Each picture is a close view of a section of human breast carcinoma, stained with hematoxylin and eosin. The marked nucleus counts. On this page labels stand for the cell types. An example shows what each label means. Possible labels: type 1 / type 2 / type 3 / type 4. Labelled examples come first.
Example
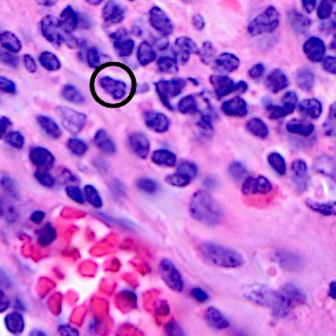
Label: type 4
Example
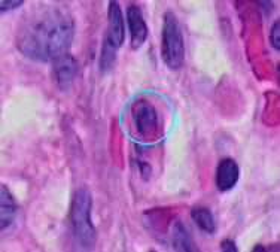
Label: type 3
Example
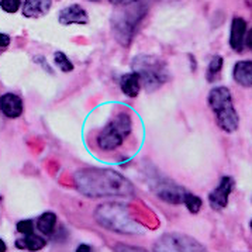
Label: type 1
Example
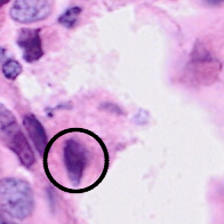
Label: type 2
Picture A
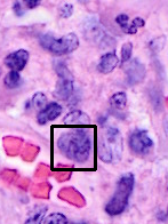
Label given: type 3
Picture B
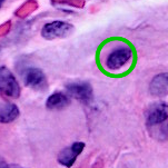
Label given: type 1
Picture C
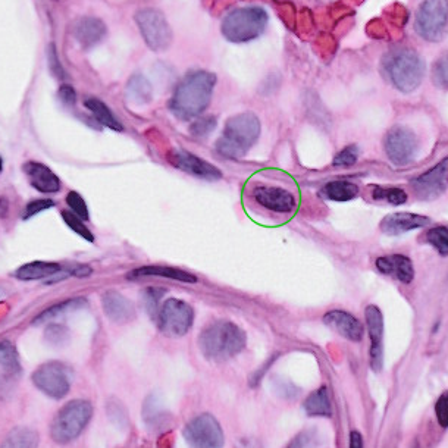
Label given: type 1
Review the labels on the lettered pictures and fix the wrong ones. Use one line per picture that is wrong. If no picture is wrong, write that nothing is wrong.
All labels are correct.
